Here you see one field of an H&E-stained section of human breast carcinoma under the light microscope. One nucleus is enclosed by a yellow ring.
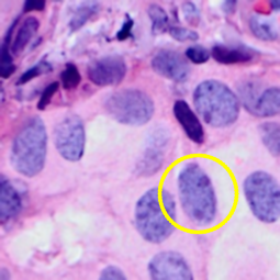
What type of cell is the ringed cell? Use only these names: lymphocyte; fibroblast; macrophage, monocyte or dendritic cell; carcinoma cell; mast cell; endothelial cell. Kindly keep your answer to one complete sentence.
Typologically, the ringed cell is a carcinoma cell in this section.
